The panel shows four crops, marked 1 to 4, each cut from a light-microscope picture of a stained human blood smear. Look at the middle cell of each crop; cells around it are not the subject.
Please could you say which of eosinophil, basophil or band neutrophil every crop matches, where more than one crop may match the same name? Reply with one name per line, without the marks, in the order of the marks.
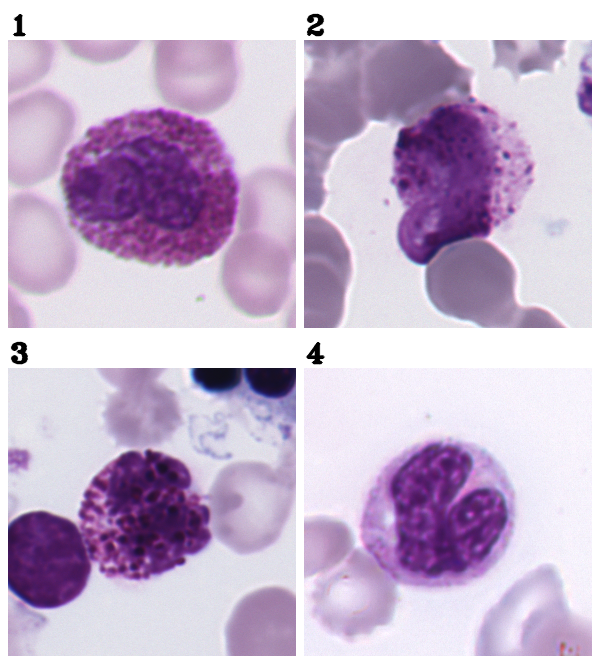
eosinophil
basophil
basophil
band neutrophil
